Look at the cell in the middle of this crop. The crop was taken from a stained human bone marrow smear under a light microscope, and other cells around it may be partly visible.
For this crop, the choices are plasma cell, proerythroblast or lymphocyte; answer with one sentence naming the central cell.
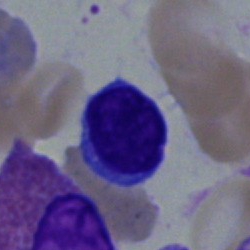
The cell in the middle of the field of view is a lymphocyte.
